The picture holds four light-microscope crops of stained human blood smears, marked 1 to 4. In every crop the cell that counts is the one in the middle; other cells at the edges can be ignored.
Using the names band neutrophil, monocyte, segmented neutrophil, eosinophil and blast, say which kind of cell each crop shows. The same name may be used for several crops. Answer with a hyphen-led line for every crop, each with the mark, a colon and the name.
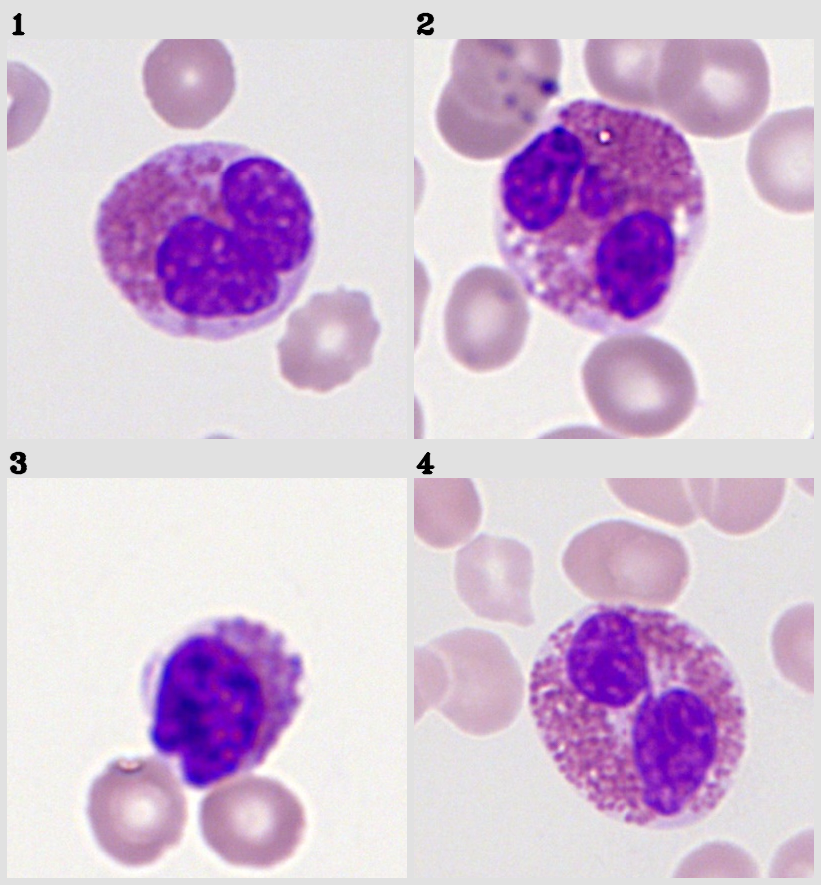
- 1: eosinophil
- 2: eosinophil
- 3: eosinophil
- 4: eosinophil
